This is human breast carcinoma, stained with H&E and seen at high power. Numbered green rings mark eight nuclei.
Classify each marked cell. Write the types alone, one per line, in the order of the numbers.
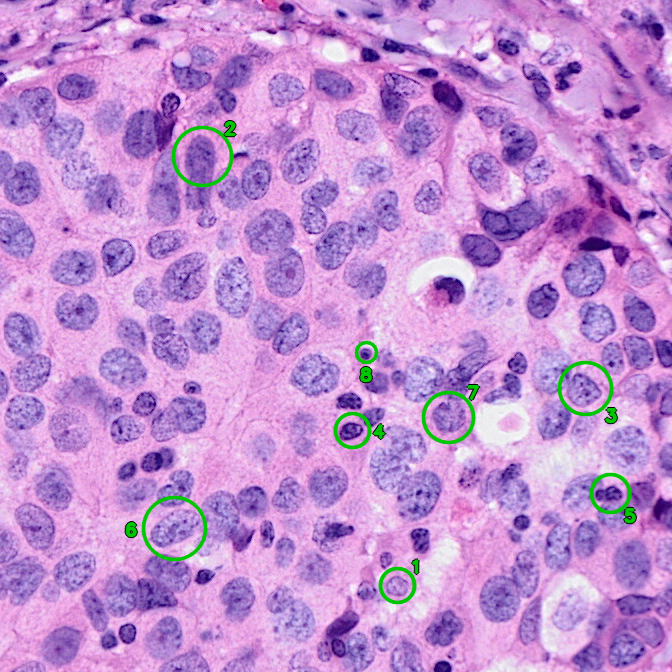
macrophage, monocyte or dendritic cell
carcinoma cell
carcinoma cell
lymphocyte
lymphocyte
carcinoma cell
carcinoma cell
lymphocyte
